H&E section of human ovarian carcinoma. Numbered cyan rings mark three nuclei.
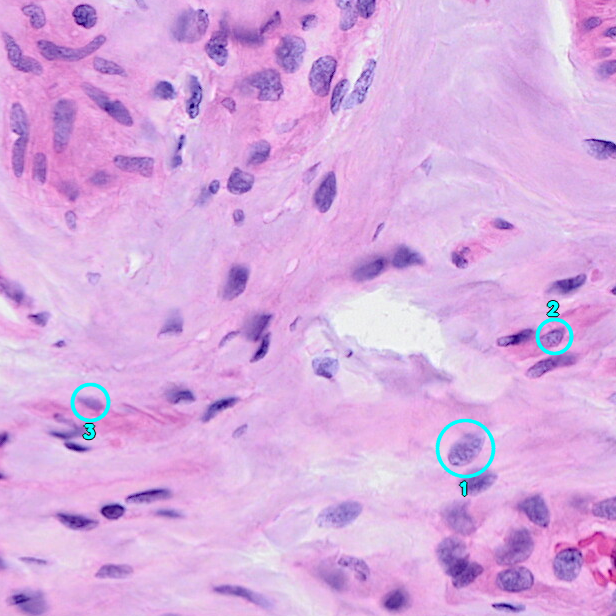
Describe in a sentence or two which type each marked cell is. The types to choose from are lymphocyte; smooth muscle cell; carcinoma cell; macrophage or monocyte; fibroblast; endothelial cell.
Cell 1 is a fibroblast, cell 2 is a smooth muscle cell and cell 3 is a smooth muscle cell.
